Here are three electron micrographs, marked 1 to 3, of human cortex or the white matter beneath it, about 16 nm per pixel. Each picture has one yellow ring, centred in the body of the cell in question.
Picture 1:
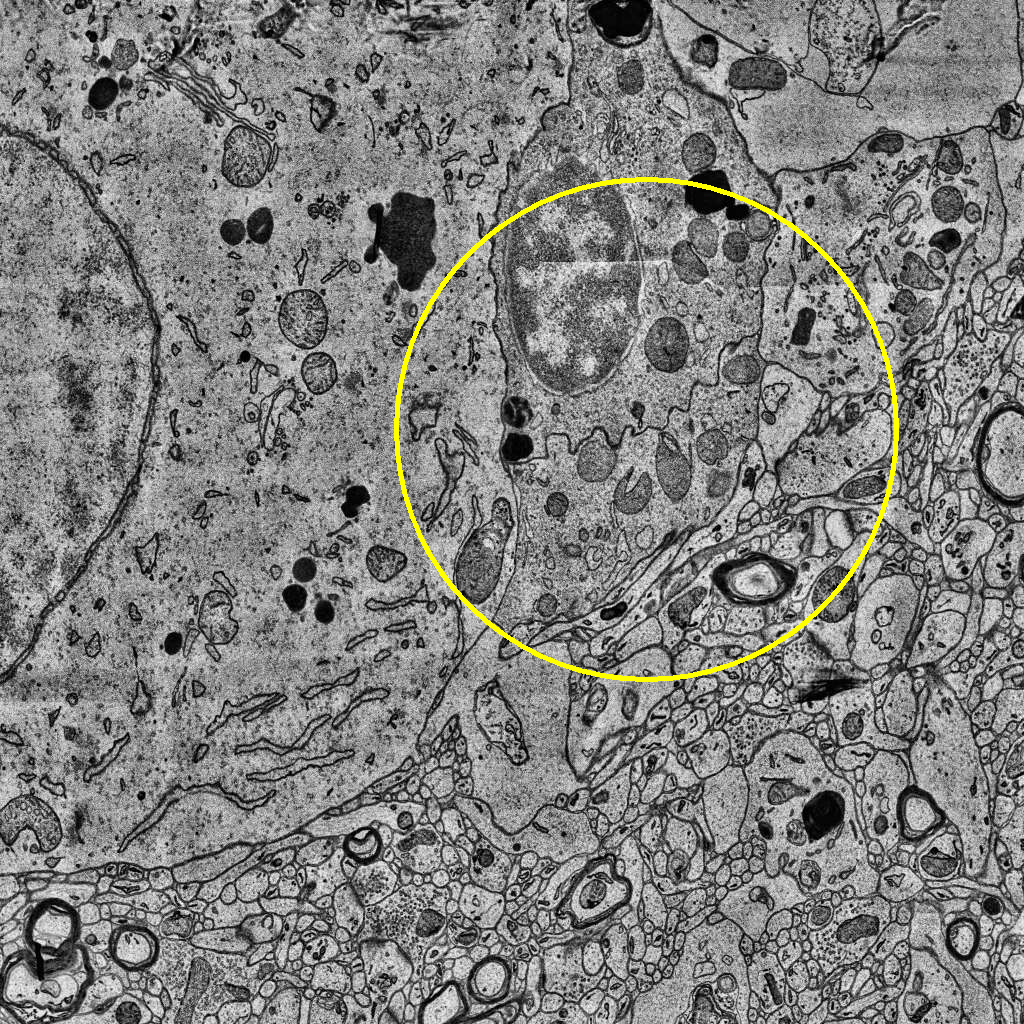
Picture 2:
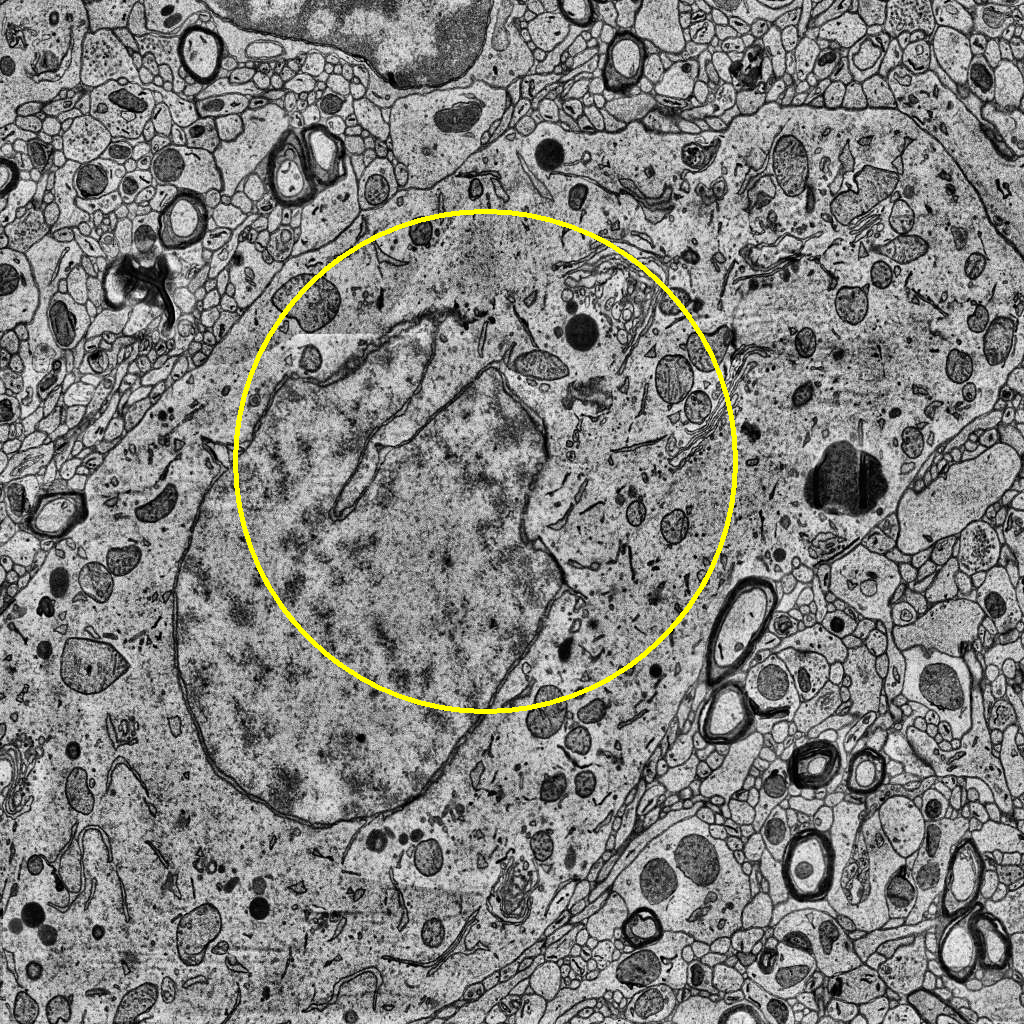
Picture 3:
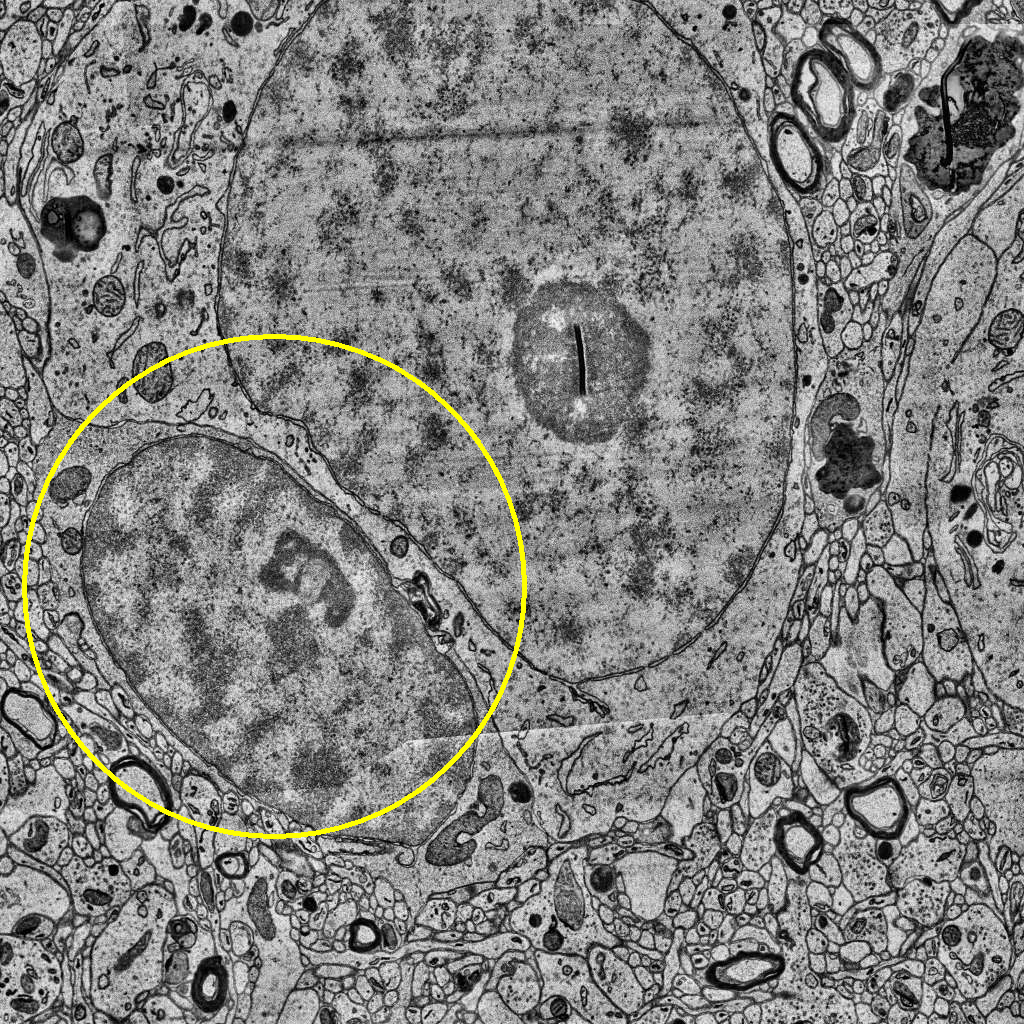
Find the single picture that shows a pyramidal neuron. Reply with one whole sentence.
Picture 2 is the one that shows the pyramidal neuron.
